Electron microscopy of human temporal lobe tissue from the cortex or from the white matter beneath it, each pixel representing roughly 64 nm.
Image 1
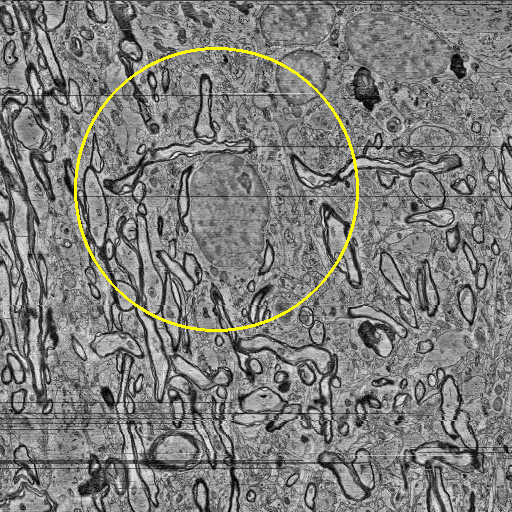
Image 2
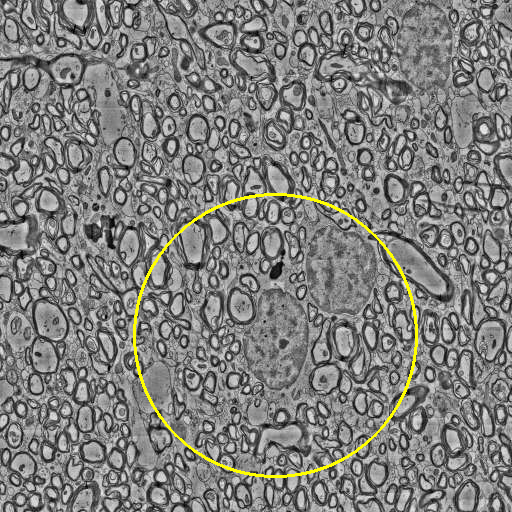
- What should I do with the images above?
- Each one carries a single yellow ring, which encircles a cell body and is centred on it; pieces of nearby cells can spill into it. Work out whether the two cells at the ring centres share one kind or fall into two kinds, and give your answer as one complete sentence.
The ring-centre cells of Image 1 and Image 2 share one kind.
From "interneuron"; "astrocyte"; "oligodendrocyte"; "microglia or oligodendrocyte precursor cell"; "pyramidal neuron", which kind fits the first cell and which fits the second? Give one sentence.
Each cell, in the first picture and the second, is an oligodendrocyte.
